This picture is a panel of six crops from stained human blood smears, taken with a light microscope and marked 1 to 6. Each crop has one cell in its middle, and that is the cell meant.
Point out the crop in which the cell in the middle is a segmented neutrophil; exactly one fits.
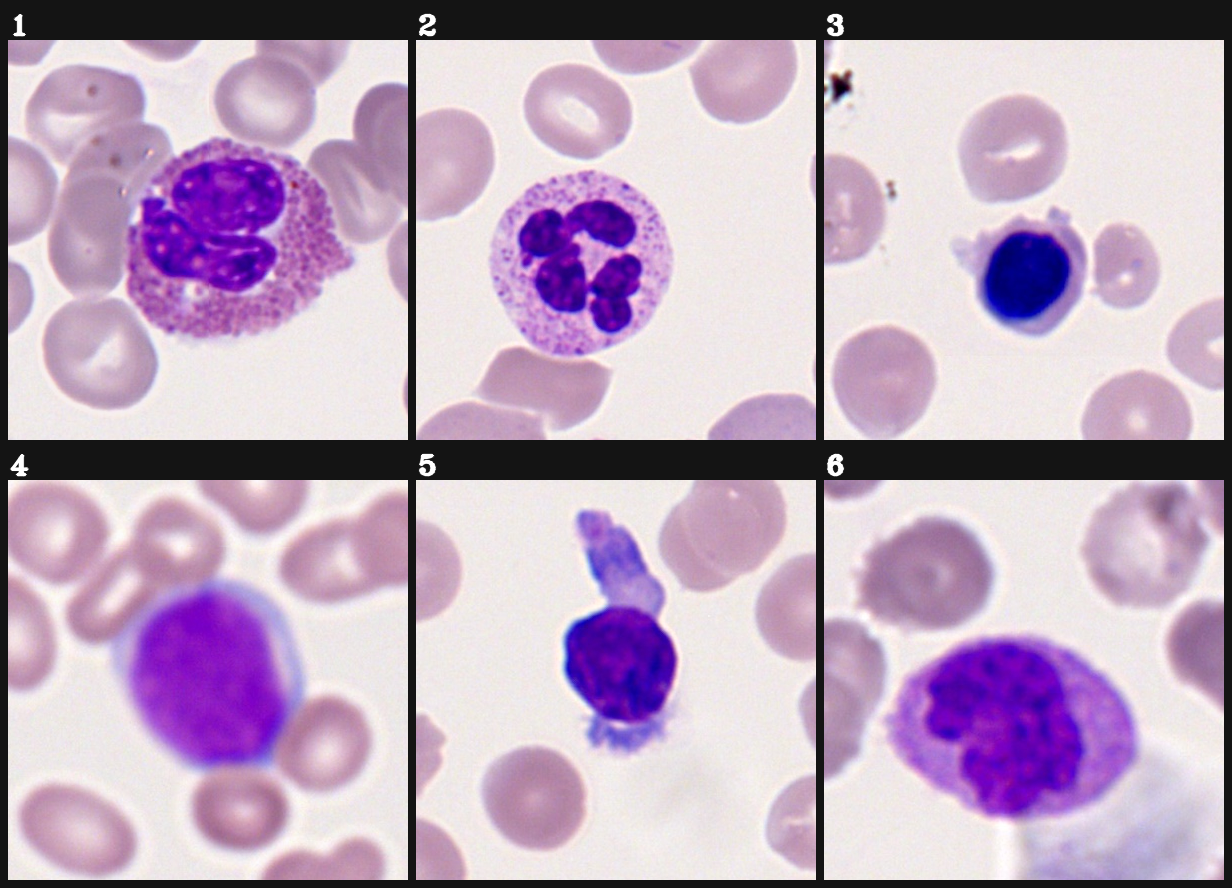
2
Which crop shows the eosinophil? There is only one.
1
